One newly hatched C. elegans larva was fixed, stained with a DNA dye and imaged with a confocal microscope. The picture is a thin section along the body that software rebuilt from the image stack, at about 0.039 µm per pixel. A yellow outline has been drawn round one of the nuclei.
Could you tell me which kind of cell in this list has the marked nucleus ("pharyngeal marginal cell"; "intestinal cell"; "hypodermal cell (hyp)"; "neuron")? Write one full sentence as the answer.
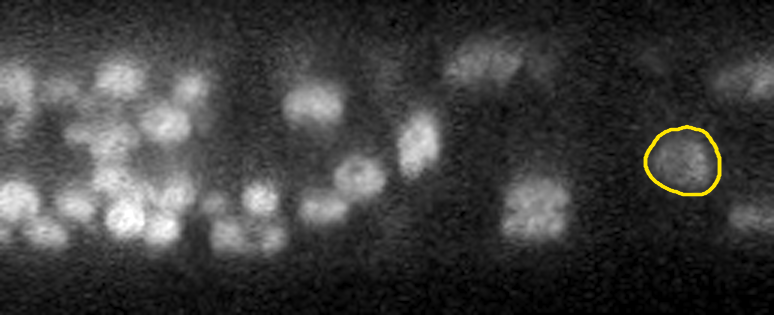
The cell with the marked nucleus is an intestinal cell.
